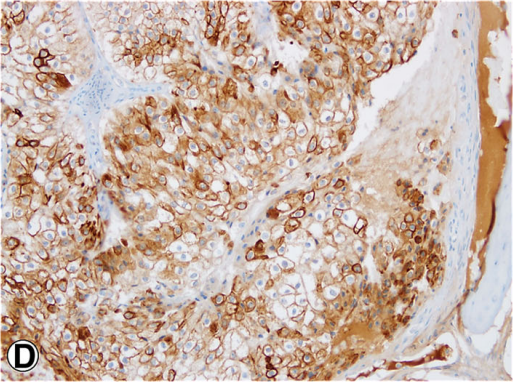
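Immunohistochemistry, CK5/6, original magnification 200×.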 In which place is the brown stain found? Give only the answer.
Cytoplasmic and membranous.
